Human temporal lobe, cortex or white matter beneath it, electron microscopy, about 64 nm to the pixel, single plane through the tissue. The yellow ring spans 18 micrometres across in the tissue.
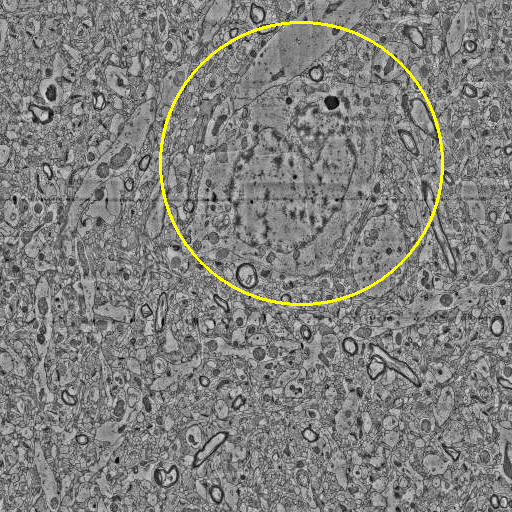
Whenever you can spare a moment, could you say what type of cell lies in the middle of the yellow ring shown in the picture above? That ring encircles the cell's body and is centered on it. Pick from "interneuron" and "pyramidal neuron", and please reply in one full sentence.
The cell whose body sits at the middle of the yellow ring is an interneuron.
